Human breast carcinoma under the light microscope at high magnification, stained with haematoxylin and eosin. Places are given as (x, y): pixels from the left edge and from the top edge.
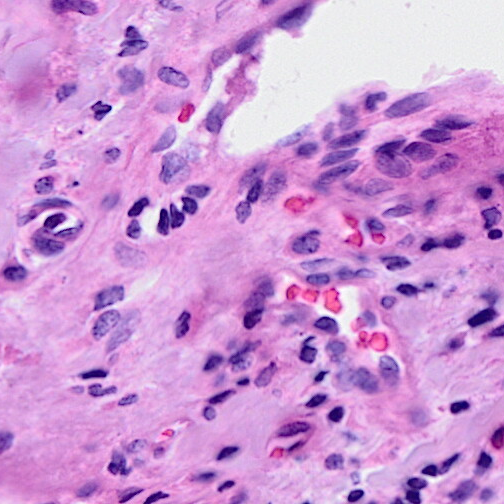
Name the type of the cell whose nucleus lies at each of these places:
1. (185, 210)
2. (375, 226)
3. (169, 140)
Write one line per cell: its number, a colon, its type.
1: lymphocyte
2: endothelial cell
3: endothelial cell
